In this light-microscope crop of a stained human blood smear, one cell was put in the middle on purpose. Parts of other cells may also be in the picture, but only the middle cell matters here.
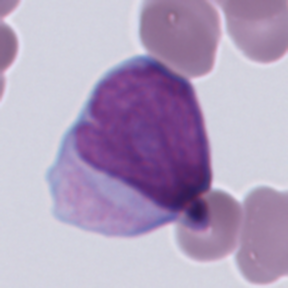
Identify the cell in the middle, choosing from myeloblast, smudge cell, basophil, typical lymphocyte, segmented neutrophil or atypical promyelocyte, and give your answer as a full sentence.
The centered cell in this crop is an atypical promyelocyte.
